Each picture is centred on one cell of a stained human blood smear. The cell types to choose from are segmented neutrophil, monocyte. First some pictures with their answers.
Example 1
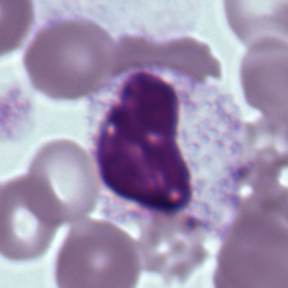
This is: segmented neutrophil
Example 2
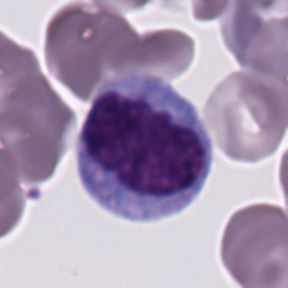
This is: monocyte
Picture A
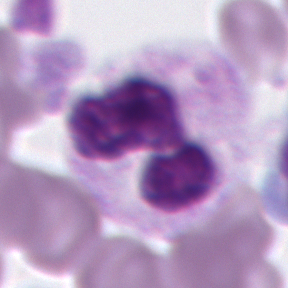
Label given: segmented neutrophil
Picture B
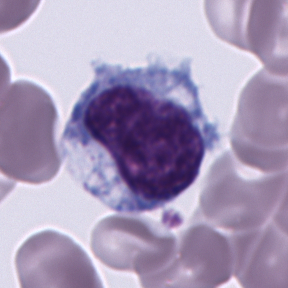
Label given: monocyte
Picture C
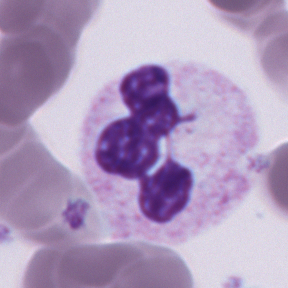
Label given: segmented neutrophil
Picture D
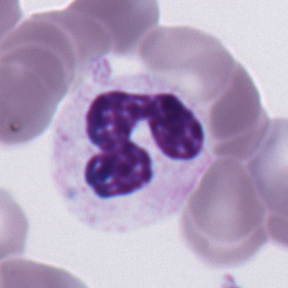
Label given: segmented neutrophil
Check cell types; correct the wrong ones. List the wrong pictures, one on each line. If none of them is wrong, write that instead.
None of the labels needs changing.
